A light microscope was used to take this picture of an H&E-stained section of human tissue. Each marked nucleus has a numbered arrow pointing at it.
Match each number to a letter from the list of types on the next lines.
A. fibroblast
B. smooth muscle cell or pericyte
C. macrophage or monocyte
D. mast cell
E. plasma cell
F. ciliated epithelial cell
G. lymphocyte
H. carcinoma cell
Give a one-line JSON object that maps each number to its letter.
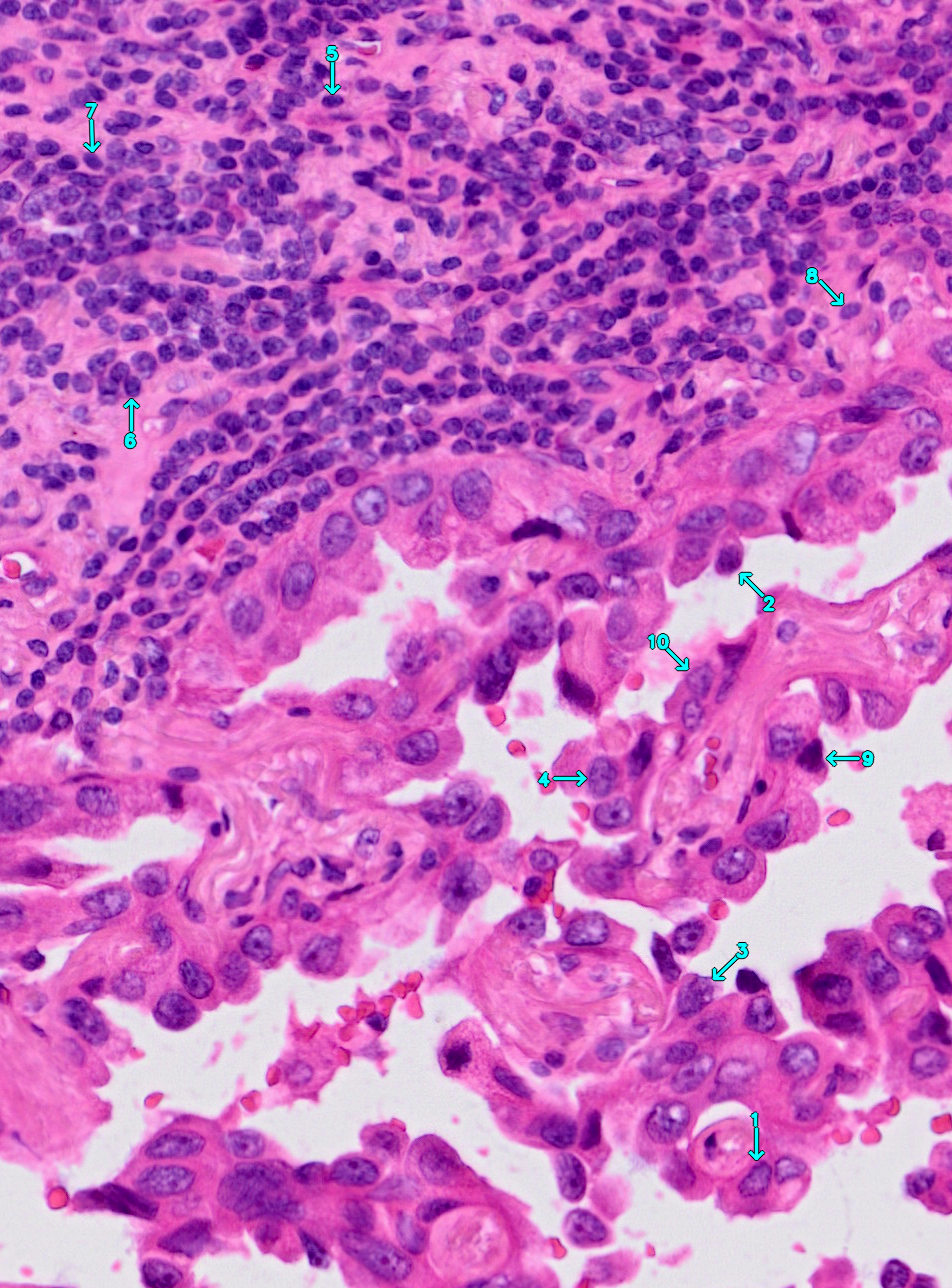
{"1": "H", "2": "H", "3": "H", "4": "H", "5": "G", "6": "G", "7": "G", "8": "G", "9": "H", "10": "H"}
